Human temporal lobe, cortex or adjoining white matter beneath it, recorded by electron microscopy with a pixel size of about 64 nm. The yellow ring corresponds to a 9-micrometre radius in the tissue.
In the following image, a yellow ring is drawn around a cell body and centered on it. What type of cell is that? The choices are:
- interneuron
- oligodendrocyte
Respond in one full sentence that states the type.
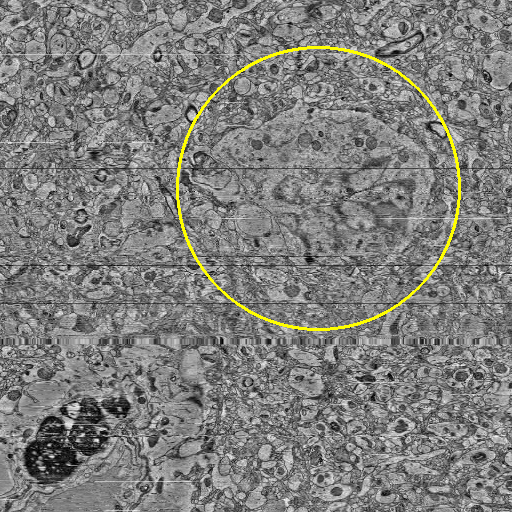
The cell at the center of the yellow ring in the image is an interneuron.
